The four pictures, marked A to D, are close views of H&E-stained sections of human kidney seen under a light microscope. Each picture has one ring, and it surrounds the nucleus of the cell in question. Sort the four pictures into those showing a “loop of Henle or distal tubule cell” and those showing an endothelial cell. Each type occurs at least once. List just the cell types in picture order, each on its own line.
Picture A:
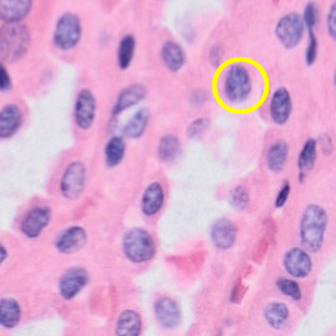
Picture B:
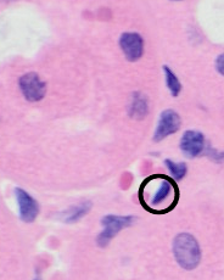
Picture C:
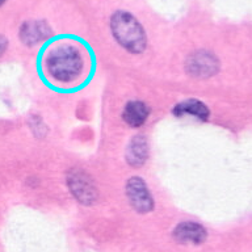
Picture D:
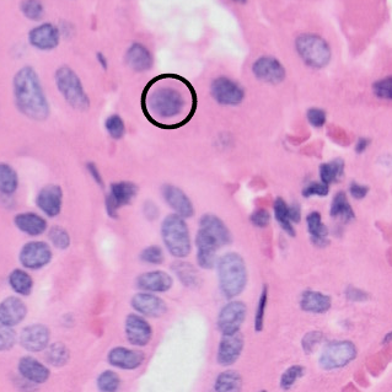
loop of Henle or distal tubule cell
endothelial cell
loop of Henle or distal tubule cell
loop of Henle or distal tubule cell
